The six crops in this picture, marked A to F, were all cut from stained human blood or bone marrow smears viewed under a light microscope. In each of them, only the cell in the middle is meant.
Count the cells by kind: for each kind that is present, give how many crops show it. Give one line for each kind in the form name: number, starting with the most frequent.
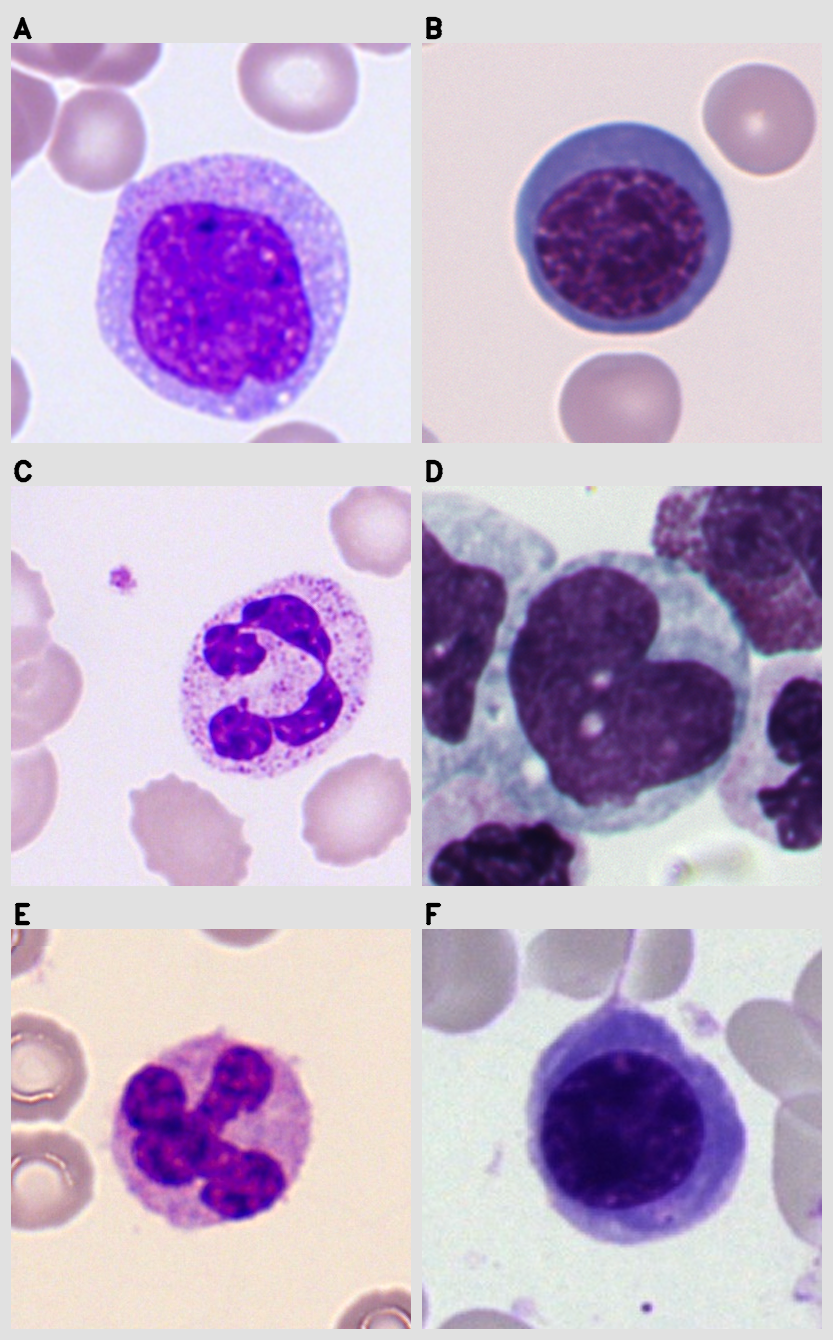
monocyte: 3
erythroblast: 2
segmented neutrophil: 1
